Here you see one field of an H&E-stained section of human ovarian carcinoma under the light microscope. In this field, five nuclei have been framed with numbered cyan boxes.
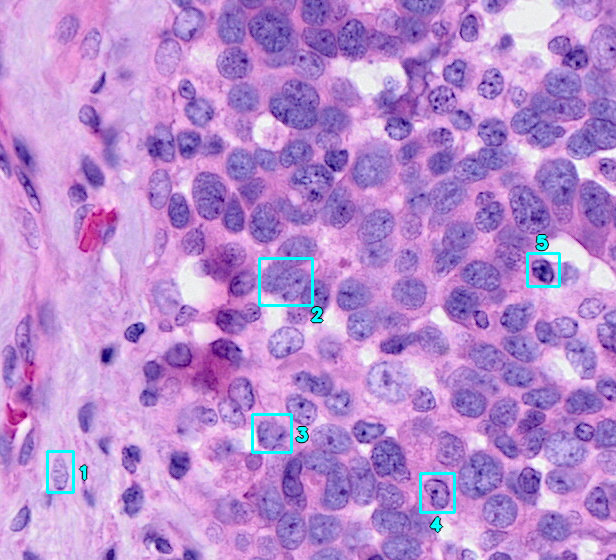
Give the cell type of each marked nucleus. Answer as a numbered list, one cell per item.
1. fibroblast
2. carcinoma cell
3. macrophage or monocyte
4. macrophage or monocyte
5. lymphocyte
